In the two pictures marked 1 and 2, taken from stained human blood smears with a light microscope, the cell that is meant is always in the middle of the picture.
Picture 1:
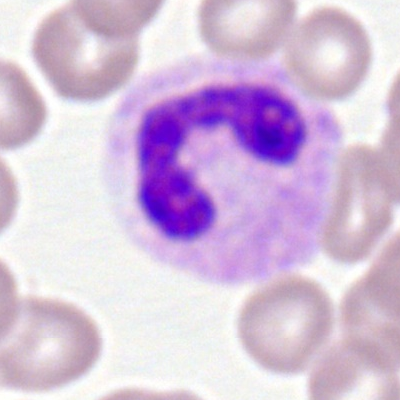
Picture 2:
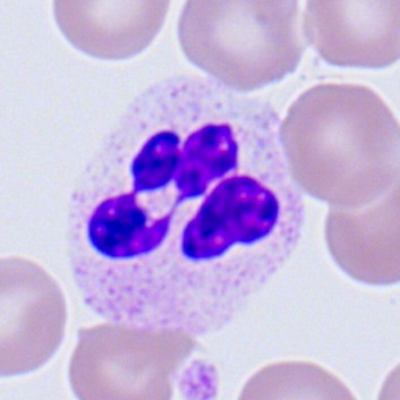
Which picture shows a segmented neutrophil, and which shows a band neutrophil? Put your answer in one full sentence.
The cell in picture 1 is a band neutrophil, and the one in picture 2 is a segmented neutrophil.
